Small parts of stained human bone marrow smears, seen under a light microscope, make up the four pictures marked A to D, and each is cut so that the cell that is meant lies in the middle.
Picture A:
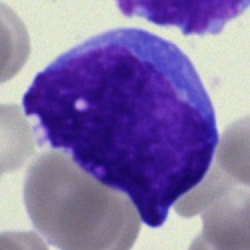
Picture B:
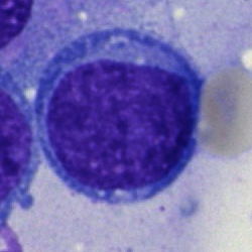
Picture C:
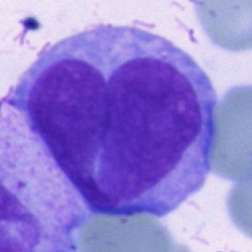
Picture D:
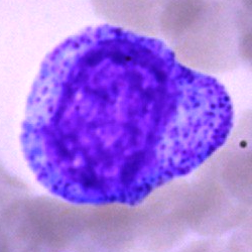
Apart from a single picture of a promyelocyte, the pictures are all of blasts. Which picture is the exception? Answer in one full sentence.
It is picture D that shows the promyelocyte.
